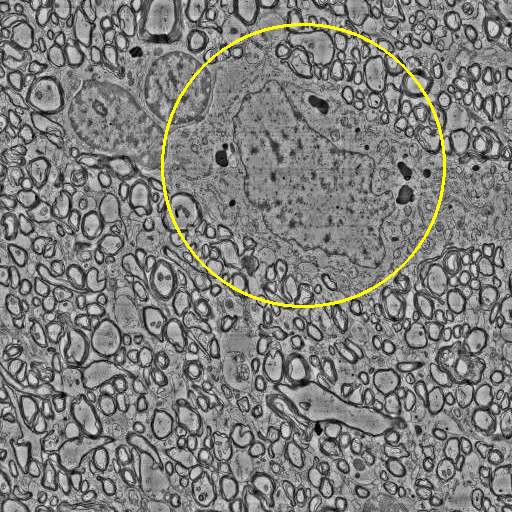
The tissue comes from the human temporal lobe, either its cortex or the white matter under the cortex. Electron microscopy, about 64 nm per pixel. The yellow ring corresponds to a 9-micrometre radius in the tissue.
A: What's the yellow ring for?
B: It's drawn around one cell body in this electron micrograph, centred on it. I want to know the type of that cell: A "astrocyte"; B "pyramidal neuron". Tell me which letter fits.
B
